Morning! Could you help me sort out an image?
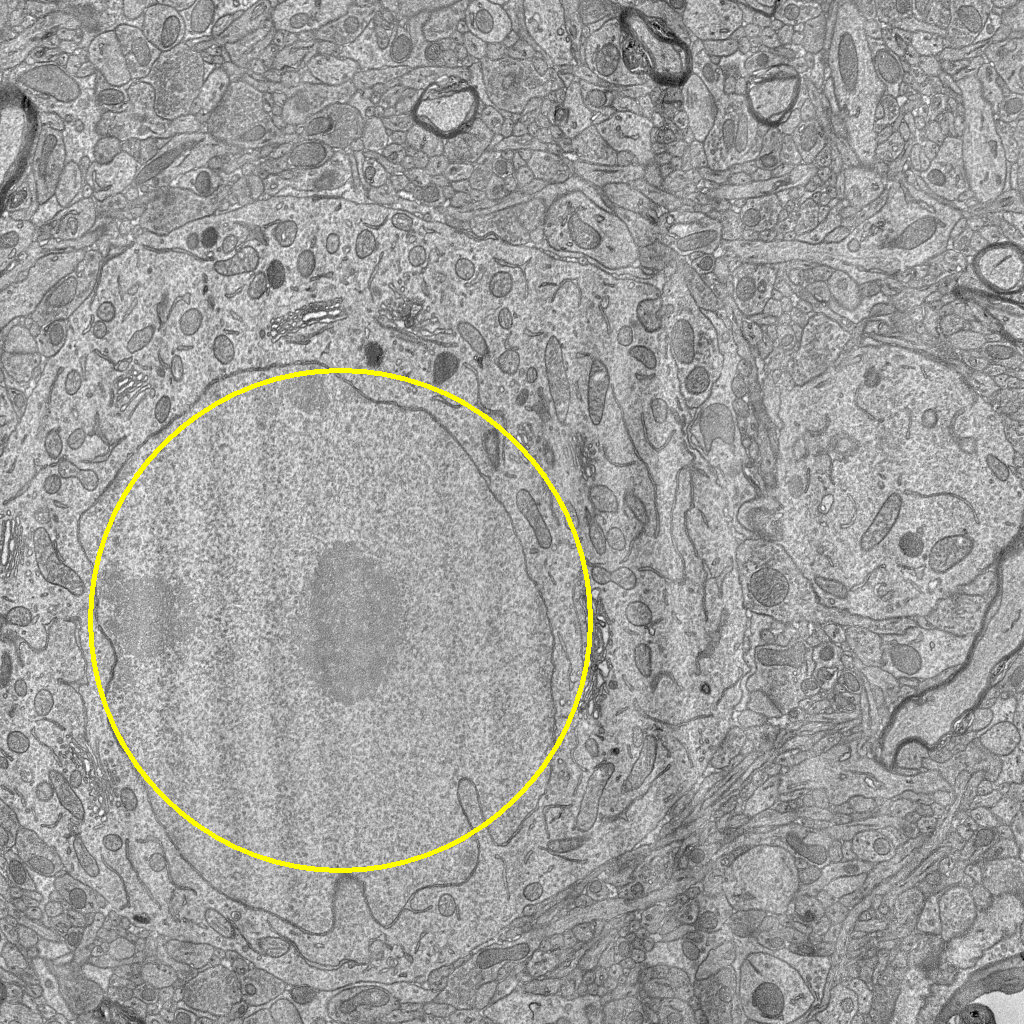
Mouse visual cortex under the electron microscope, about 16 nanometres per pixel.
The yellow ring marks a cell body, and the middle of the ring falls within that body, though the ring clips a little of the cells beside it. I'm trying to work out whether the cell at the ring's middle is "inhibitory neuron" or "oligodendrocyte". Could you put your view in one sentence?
The cell body at the ring's middle is that of an inhibitory neuron.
